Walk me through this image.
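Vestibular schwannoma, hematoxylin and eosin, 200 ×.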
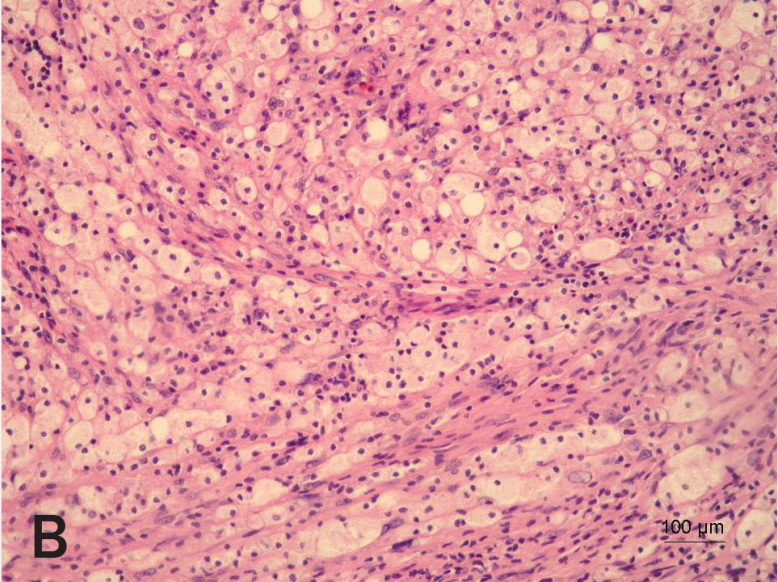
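This loose area of the tumor shows widely spaced cells among which lie many foamy macrophages, large rounded cells with pale, bubbly, vacuolated cytoplasm and a small round dark nucleus. Thin pink strands with elongated nuclei cross the field between the clusters of pale cells.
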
